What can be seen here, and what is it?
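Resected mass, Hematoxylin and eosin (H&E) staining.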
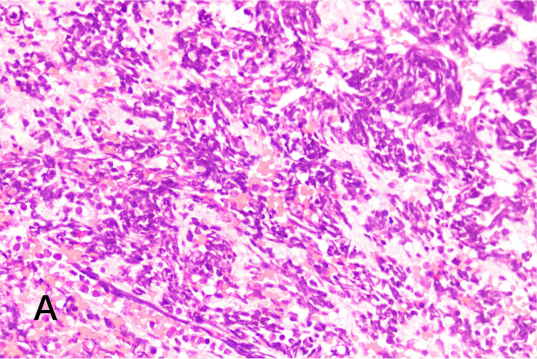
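This section shows a tumour made of sheets and cords of small cells with scant cytoplasm and hyperchromatic nuclei. The nuclei stain dark purple and are crowded closely together, with only a thin rim of cytoplasm or none seen. The cells form irregular, streaming clusters and strands. Between the clusters lies loose pale pink stroma with scattered red blood cells. A band of elongated, spindle-shaped stromal cells crosses the lower part of the field.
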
